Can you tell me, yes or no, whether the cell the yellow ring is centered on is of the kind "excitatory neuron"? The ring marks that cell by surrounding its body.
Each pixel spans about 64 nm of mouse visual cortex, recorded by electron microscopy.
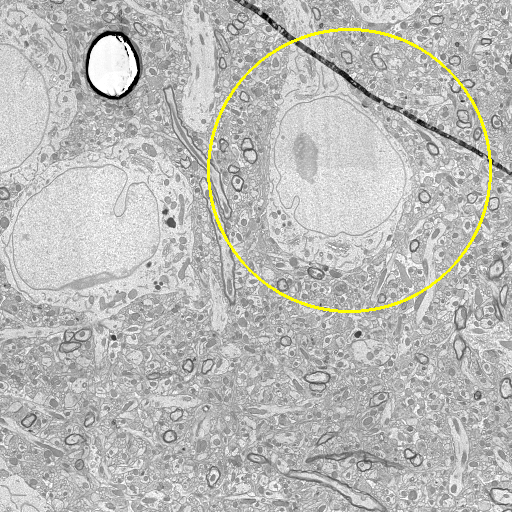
yes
